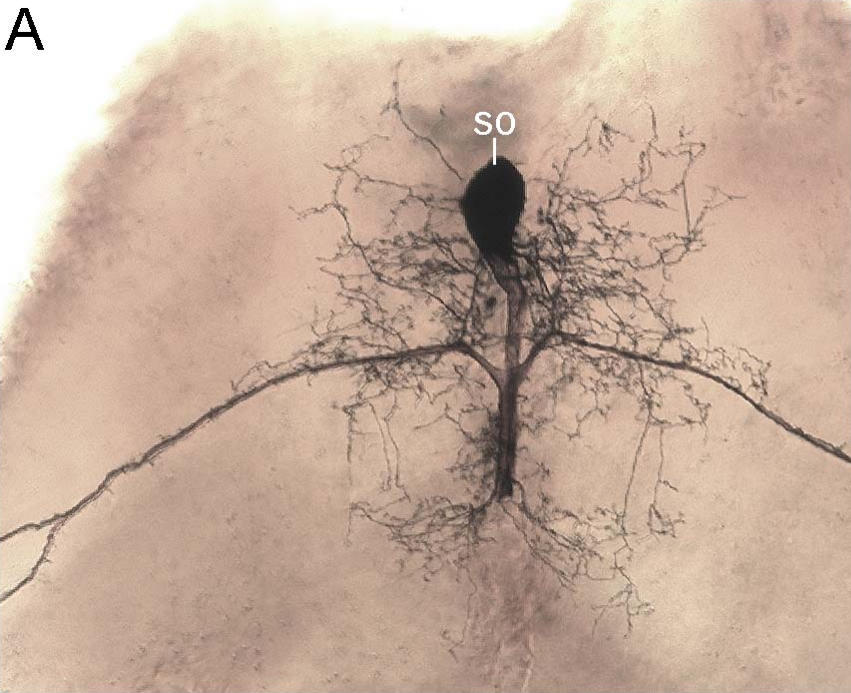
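A single nerve cell is filled black against a pale ganglion: a large pear-shaped cell body sits on the midline, and from it one thick neurite runs straight down the midline. This neurite gives rise to two long processes that run out to the left and right, and a dense, fine arborisation fills the area around both sides of the midline.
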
